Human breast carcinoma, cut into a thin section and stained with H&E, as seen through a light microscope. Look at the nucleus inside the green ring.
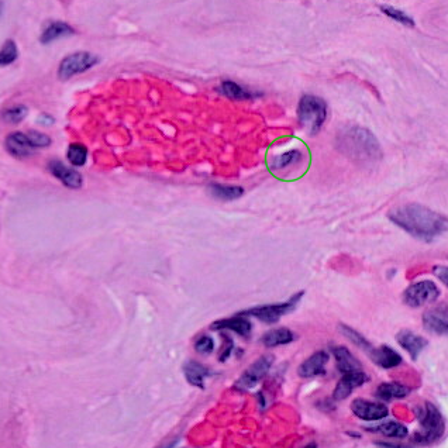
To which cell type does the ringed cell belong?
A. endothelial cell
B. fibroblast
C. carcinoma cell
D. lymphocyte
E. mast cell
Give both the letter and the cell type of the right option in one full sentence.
Under option A, the ringed cell is an endothelial cell, which is the correct identification.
